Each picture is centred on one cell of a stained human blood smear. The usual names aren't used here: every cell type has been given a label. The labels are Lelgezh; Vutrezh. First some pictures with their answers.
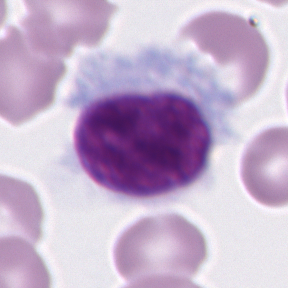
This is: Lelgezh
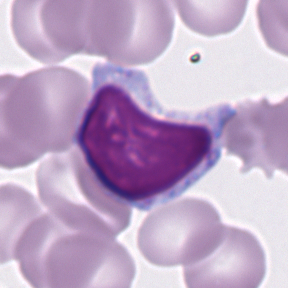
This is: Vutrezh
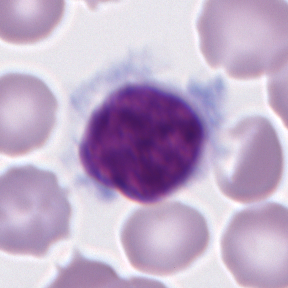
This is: Lelgezh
